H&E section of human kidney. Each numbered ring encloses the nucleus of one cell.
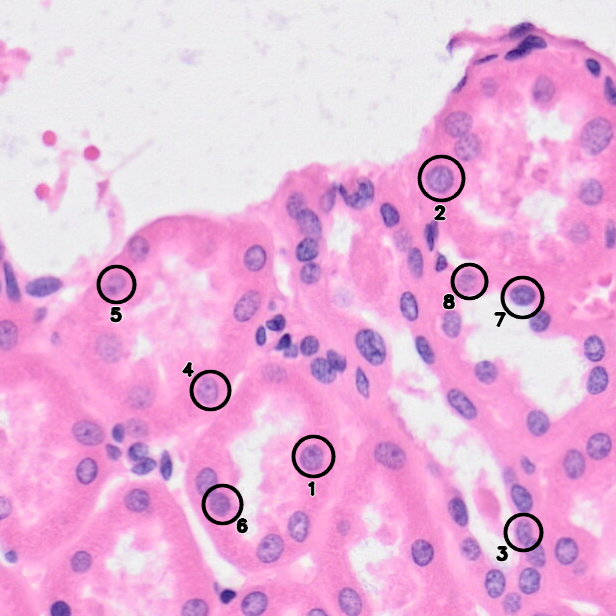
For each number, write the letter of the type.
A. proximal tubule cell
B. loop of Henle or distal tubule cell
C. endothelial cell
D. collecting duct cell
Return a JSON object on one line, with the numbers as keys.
{"1": "A", "2": "A", "3": "D", "4": "A", "5": "A", "6": "A", "7": "B", "8": "B"}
